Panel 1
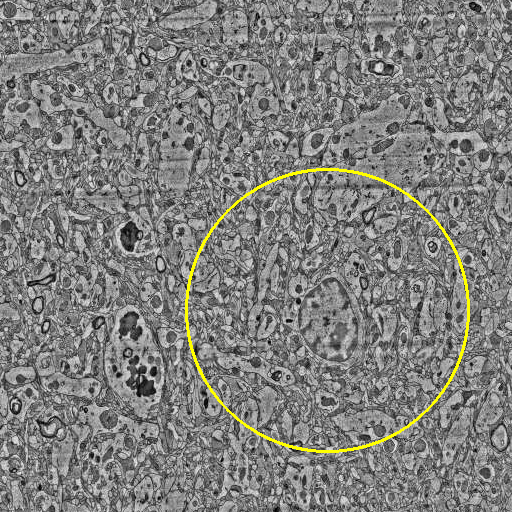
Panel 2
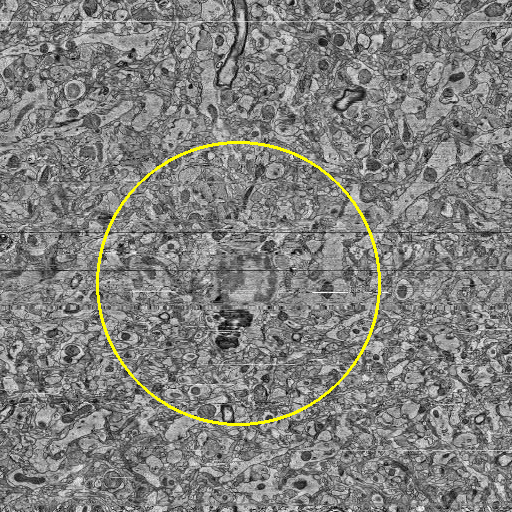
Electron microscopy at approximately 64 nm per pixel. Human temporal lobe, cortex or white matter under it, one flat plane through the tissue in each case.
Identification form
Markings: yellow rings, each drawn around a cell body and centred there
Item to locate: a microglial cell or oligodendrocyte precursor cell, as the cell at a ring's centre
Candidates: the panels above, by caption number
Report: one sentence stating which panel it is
It is Panel 1.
